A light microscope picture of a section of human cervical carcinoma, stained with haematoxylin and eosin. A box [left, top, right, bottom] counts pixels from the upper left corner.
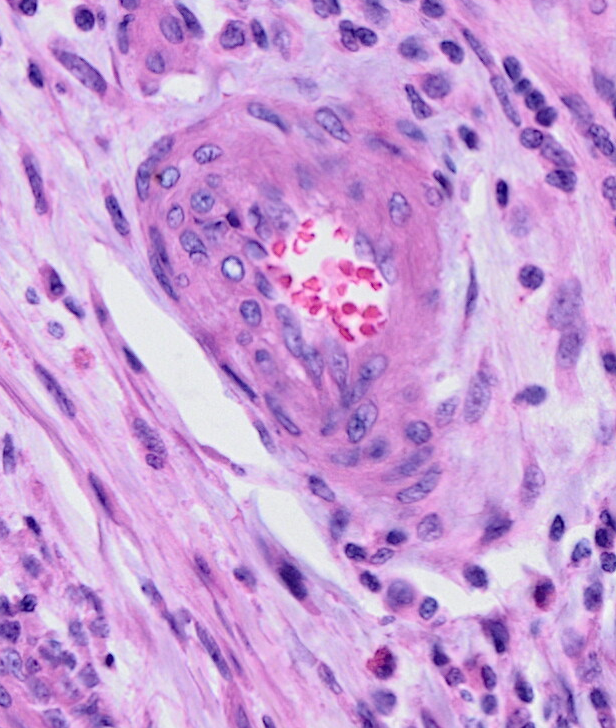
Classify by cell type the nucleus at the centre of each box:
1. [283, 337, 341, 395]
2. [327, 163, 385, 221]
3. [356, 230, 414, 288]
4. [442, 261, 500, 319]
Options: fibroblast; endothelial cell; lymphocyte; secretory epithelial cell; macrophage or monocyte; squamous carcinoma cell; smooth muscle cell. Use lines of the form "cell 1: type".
cell 1: endothelial cell
cell 2: smooth muscle cell
cell 3: endothelial cell
cell 4: fibroblast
